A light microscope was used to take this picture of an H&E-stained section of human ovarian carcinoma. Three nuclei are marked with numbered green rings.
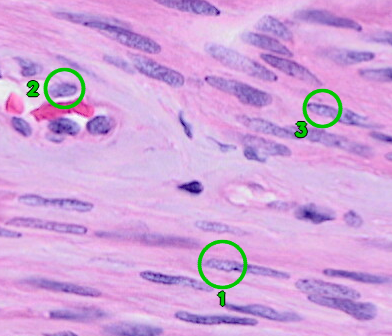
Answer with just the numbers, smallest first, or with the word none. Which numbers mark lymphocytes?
none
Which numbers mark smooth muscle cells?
1, 3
